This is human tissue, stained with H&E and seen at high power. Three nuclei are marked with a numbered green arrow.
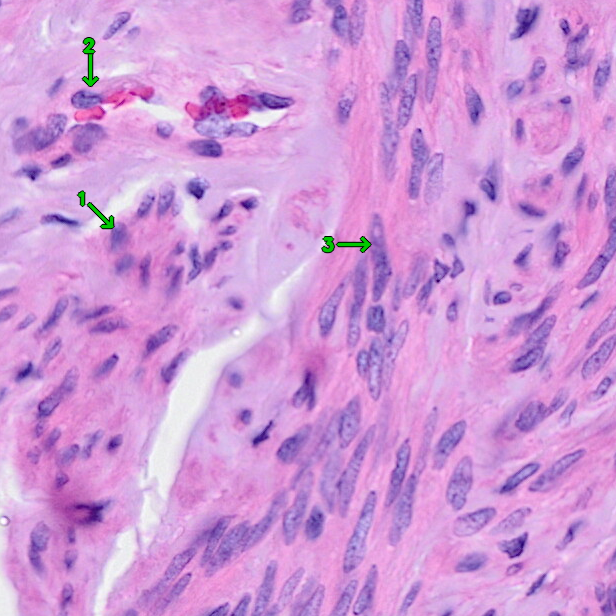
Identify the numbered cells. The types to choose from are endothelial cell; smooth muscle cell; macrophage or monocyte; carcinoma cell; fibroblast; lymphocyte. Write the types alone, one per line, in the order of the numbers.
smooth muscle cell
endothelial cell
smooth muscle cell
